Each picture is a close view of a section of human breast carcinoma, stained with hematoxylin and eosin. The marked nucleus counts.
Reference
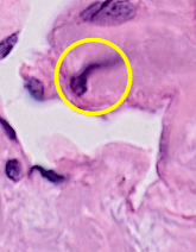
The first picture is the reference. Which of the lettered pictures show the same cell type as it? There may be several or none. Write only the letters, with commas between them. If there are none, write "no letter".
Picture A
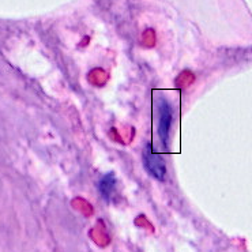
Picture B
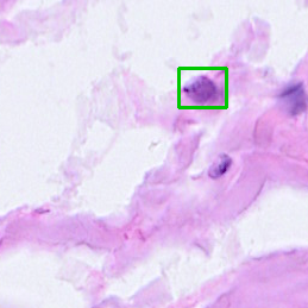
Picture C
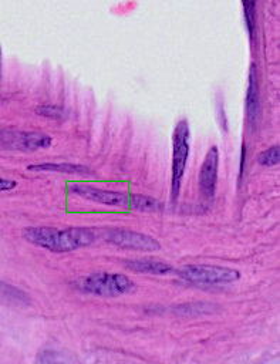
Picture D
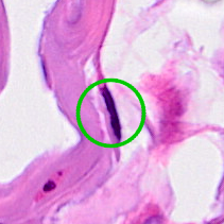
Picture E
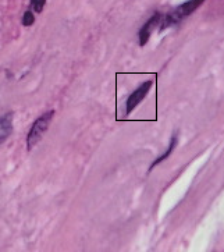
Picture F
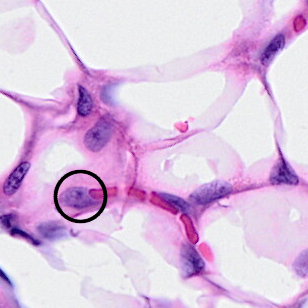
A, B, D, E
